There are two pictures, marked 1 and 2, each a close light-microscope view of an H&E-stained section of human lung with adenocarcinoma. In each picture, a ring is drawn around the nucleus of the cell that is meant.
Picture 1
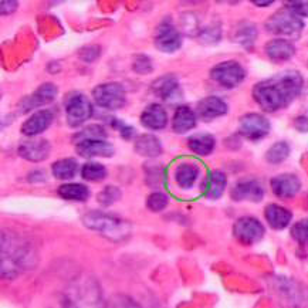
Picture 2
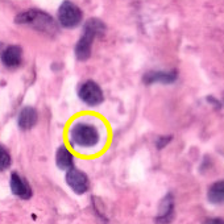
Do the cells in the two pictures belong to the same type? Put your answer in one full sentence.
Yes; the cells in both pictures are lymphocytes.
